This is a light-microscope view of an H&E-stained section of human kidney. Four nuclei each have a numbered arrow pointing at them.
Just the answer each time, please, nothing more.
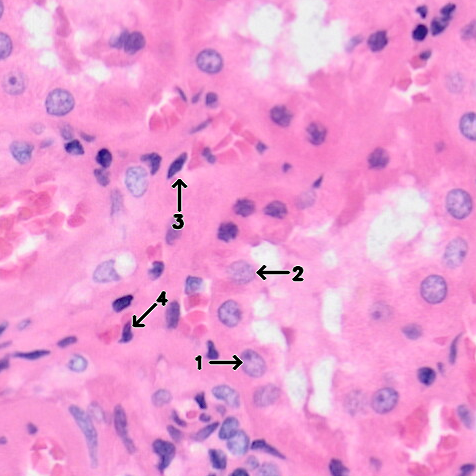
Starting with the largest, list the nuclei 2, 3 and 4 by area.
2, 3, 4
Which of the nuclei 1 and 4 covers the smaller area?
4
